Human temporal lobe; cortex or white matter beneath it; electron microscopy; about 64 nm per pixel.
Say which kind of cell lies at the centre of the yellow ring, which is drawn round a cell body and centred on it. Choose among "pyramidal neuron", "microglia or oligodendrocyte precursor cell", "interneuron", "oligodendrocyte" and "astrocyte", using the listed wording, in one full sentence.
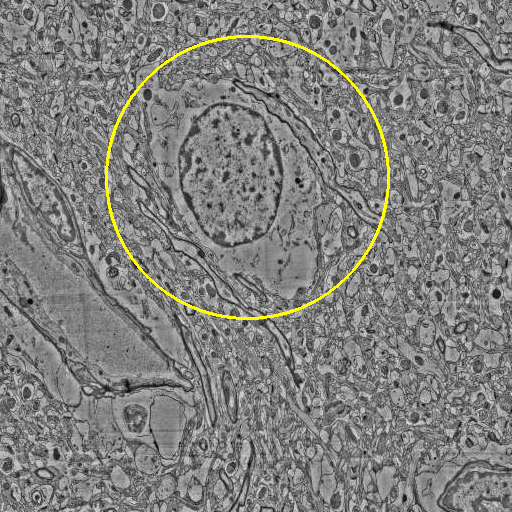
Going by the list, the cell at the yellow ring's centre is an astrocyte.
